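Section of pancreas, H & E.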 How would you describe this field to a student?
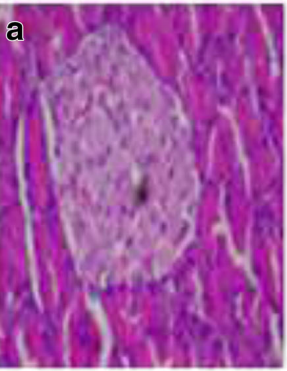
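A large, rounded, pale pink cluster of cells with small purple nuclei lies in the centre, sharply set off from the surrounding tissue. Around it lies deeply pink-stained glandular tissue arranged in small lobules separated by narrow clear spaces. The pale cluster is a pancreatic islet, well filled with cells, and the surrounding tissue is the exocrine acini, which look intact.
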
